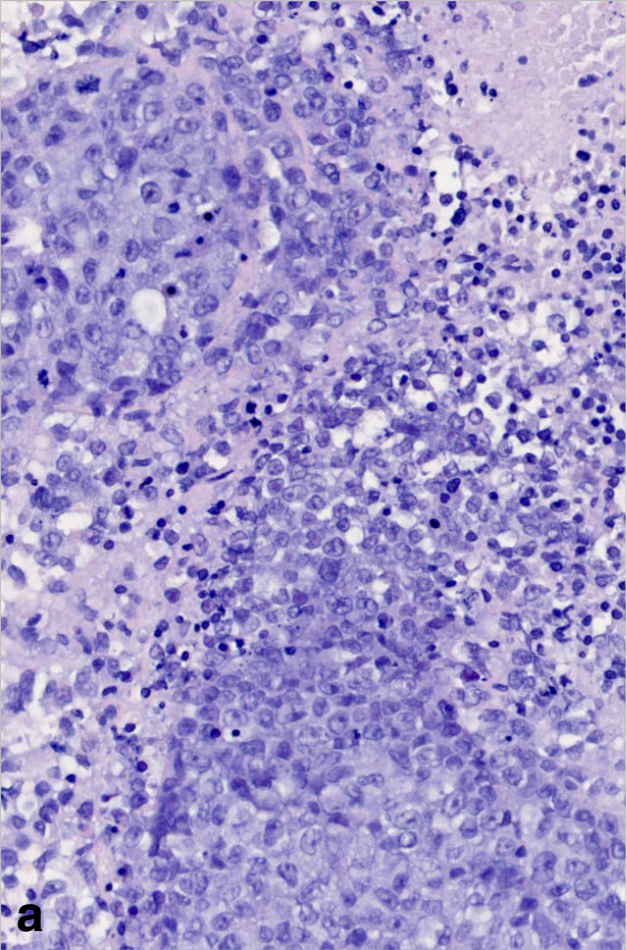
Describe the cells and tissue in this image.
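Undifferentiated tumor made of sheets of large, poorly cohesive round and polygonal cells. The nuclei are large, round to oval and vesicular, many with a prominent nucleolus, set in pale to amphophilic cytoplasm. Cells lie loosely with small clear spaces between them, and scattered small dark pyknotic nuclei are mixed among them. In the upper right corner a pale pink necrotic area is seen.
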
